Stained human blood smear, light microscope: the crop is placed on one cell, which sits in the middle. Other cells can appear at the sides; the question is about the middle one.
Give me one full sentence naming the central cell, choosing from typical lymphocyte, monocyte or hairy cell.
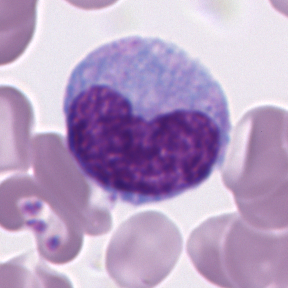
The identification for the central cell is a monocyte.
